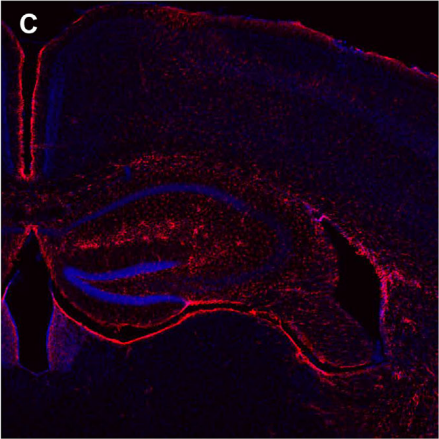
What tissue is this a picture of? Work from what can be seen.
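Hippocampus. A curved band of densely packed blue nuclei. A V-shaped blue band of packed nuclei inside the curve.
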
